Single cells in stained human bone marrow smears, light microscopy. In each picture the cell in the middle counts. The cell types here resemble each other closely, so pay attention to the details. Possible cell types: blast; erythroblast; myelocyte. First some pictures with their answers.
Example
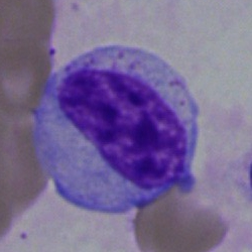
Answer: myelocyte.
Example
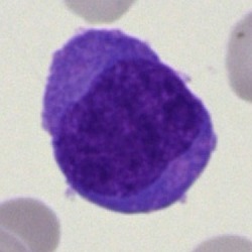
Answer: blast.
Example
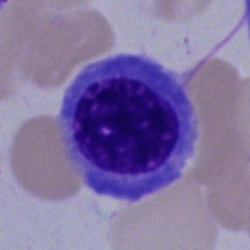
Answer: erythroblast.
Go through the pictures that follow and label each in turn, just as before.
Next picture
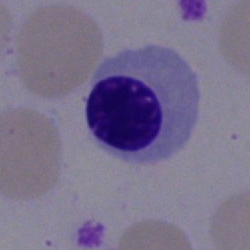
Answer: erythroblast.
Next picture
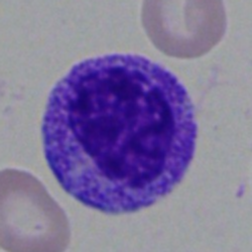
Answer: myelocyte.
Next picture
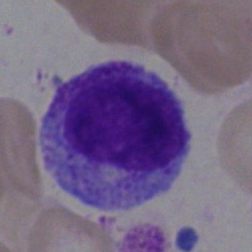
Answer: myelocyte.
